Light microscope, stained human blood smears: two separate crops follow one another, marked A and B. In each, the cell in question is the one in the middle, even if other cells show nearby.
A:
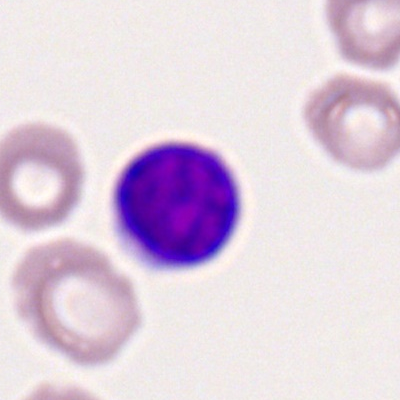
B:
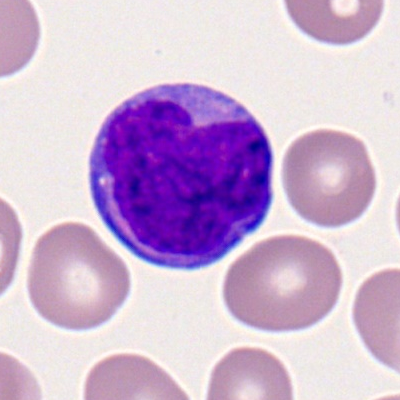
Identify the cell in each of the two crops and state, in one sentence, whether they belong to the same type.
No, crop A gives us a lymphocyte and crop B gives us a myeloblast.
